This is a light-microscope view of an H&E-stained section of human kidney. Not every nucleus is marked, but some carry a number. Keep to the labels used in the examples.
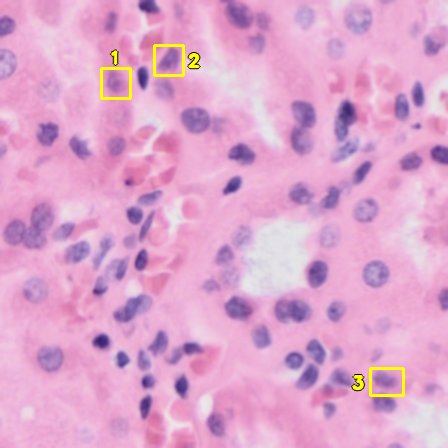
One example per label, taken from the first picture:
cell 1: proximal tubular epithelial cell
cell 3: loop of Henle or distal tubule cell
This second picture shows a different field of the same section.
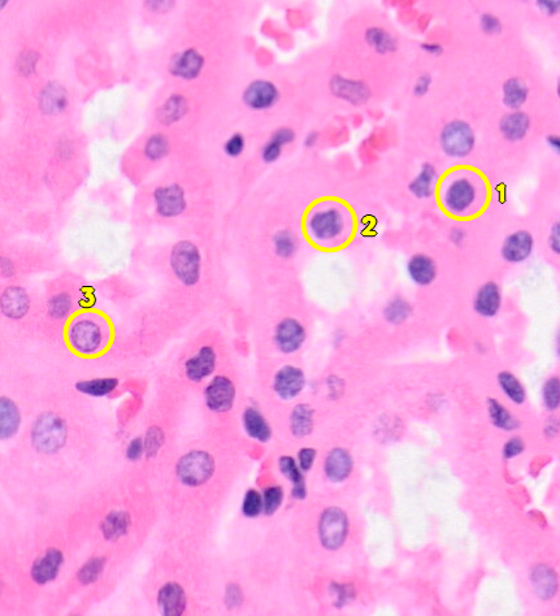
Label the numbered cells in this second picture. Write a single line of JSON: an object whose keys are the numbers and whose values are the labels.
{"1": "loop of Henle or distal tubule cell", "2": "loop of Henle or distal tubule cell", "3": "proximal tubular epithelial cell"}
